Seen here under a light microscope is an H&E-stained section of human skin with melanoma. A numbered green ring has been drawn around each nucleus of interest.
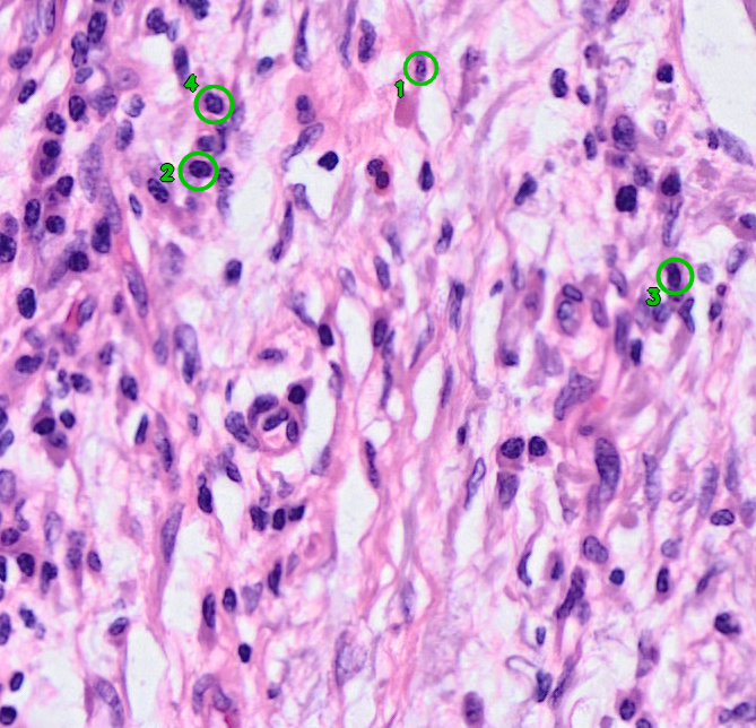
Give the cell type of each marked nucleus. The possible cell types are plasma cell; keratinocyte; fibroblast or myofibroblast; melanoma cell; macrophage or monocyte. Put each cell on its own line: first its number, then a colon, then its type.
1: macrophage or monocyte
2: plasma cell
3: plasma cell
4: plasma cell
